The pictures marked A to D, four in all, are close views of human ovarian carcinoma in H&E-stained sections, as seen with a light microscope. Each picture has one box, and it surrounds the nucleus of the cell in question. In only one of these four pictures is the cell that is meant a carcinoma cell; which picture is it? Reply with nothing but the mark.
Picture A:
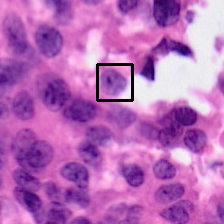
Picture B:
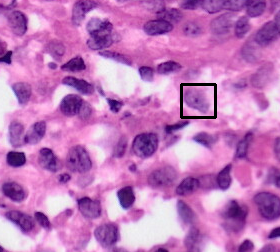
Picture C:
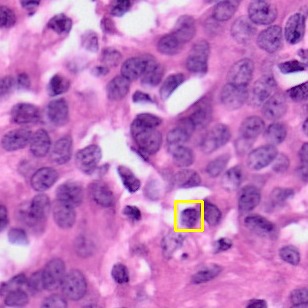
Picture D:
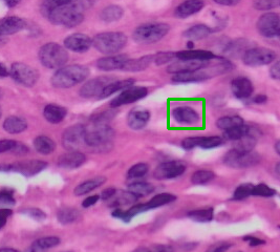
C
